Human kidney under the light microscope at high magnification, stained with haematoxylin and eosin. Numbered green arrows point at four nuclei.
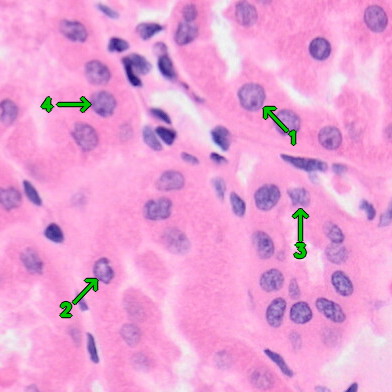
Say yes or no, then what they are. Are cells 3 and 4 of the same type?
No, cell 3 is a collecting duct cell and cell 4 is a proximal tubule cell.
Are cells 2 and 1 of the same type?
Yes, both are proximal tubule cells.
